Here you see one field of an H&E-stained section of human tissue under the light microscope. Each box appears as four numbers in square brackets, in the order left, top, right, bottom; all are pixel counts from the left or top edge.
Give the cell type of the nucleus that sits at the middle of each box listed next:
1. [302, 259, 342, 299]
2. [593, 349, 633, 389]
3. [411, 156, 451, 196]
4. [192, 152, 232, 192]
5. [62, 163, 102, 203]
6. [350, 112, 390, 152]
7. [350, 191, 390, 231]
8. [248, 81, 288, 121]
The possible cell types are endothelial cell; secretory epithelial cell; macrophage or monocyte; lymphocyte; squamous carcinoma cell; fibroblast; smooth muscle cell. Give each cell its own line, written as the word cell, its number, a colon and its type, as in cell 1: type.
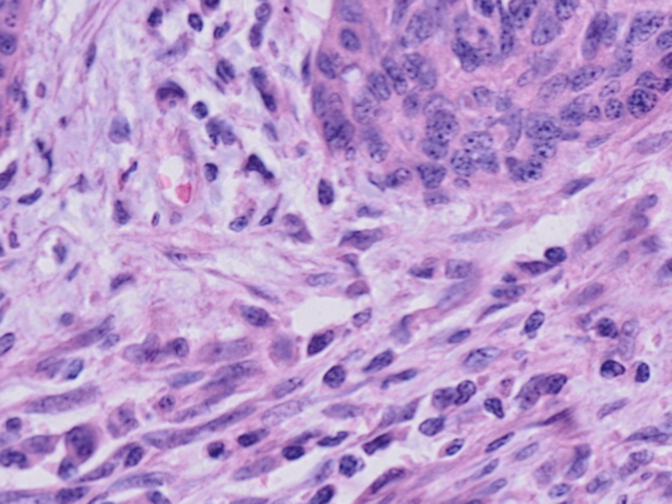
cell 1: fibroblast
cell 2: lymphocyte
cell 3: squamous carcinoma cell
cell 4: lymphocyte
cell 5: fibroblast
cell 6: squamous carcinoma cell
cell 7: fibroblast
cell 8: lymphocyte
